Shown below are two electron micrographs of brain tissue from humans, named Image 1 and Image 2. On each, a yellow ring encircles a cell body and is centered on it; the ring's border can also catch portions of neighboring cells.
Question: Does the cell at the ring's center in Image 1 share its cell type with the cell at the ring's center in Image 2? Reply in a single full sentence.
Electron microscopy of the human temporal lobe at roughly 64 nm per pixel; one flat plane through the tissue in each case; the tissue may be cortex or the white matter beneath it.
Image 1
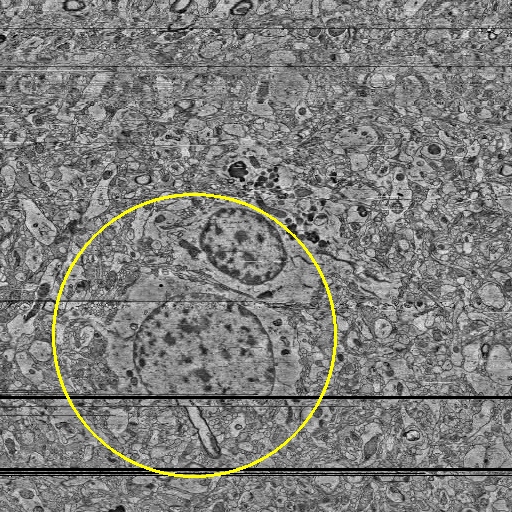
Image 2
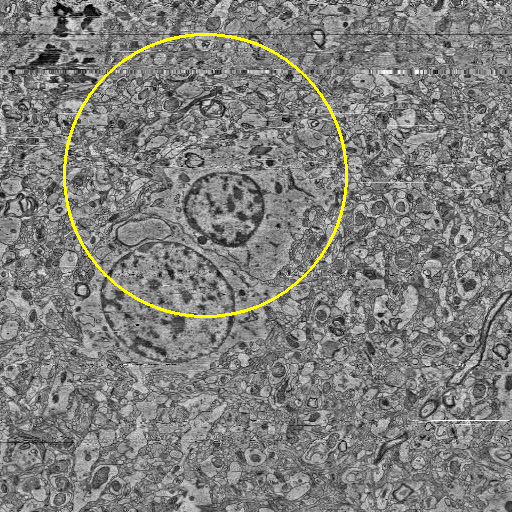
Yes, the two cells at the ring centers, in Image 1 and Image 2, share one cell type.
